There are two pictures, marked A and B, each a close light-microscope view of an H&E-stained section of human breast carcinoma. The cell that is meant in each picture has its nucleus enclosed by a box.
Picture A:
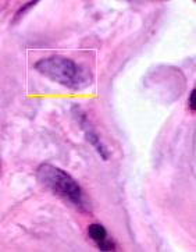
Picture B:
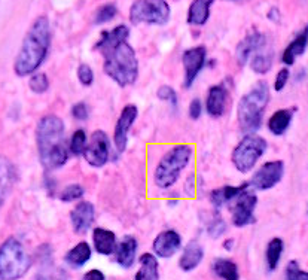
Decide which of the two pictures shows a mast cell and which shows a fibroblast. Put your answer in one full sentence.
Picture B shows a mast cell, while picture A shows a fibroblast.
